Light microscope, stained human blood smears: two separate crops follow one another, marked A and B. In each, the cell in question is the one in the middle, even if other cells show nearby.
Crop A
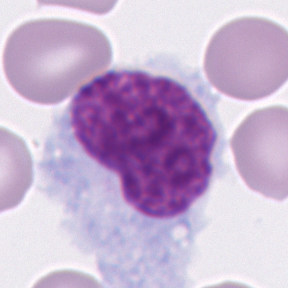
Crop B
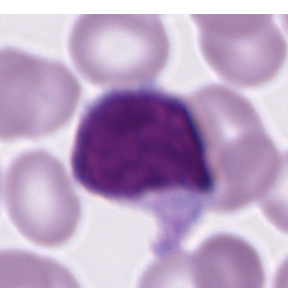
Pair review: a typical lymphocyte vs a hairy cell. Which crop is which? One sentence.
Crop A is a hairy cell and crop B is a typical lymphocyte.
